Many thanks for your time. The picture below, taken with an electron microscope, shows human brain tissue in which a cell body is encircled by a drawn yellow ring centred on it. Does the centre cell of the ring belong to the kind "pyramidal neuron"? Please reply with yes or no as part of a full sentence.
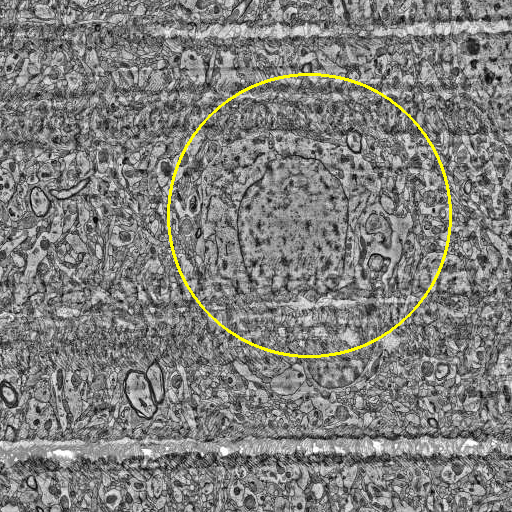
Yes, in the picture the cell at the ring's centre is of the kind you named.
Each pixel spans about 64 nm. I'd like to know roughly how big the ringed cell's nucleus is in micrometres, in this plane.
The nucleus measures about 10 by 7 micrometres in this plane.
